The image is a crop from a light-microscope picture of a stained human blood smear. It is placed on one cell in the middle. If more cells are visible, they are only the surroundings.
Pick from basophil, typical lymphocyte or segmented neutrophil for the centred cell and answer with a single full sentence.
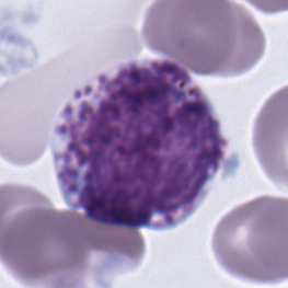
The cell of interest, located centrally, is a basophil.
